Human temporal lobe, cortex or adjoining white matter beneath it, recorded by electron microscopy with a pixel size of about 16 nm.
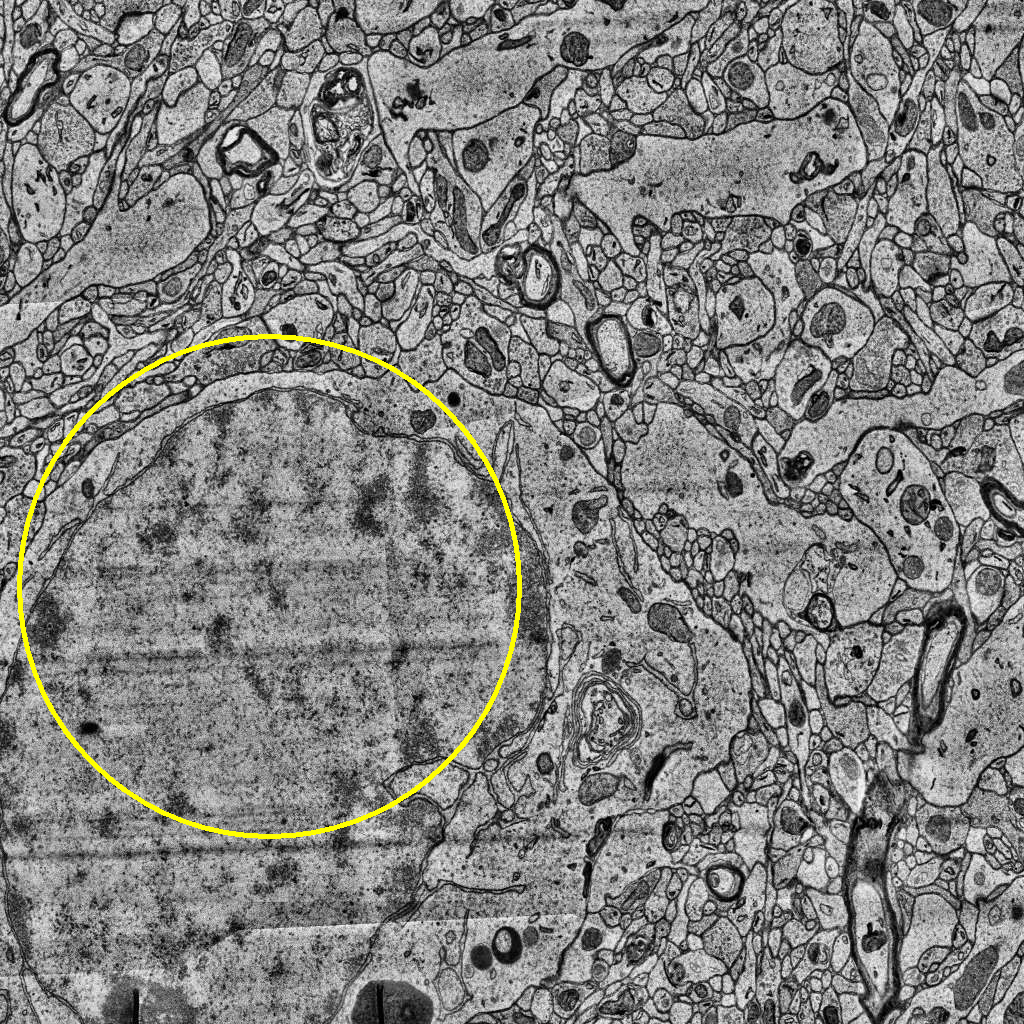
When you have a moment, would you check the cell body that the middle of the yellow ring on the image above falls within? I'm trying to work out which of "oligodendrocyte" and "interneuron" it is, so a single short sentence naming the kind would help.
This cell body belongs to an interneuron.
